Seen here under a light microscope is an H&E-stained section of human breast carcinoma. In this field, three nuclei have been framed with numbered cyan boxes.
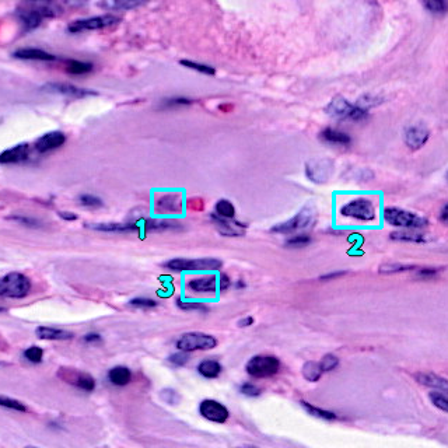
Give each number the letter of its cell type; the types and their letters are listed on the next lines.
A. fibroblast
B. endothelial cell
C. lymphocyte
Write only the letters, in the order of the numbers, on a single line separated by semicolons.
B; C; C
